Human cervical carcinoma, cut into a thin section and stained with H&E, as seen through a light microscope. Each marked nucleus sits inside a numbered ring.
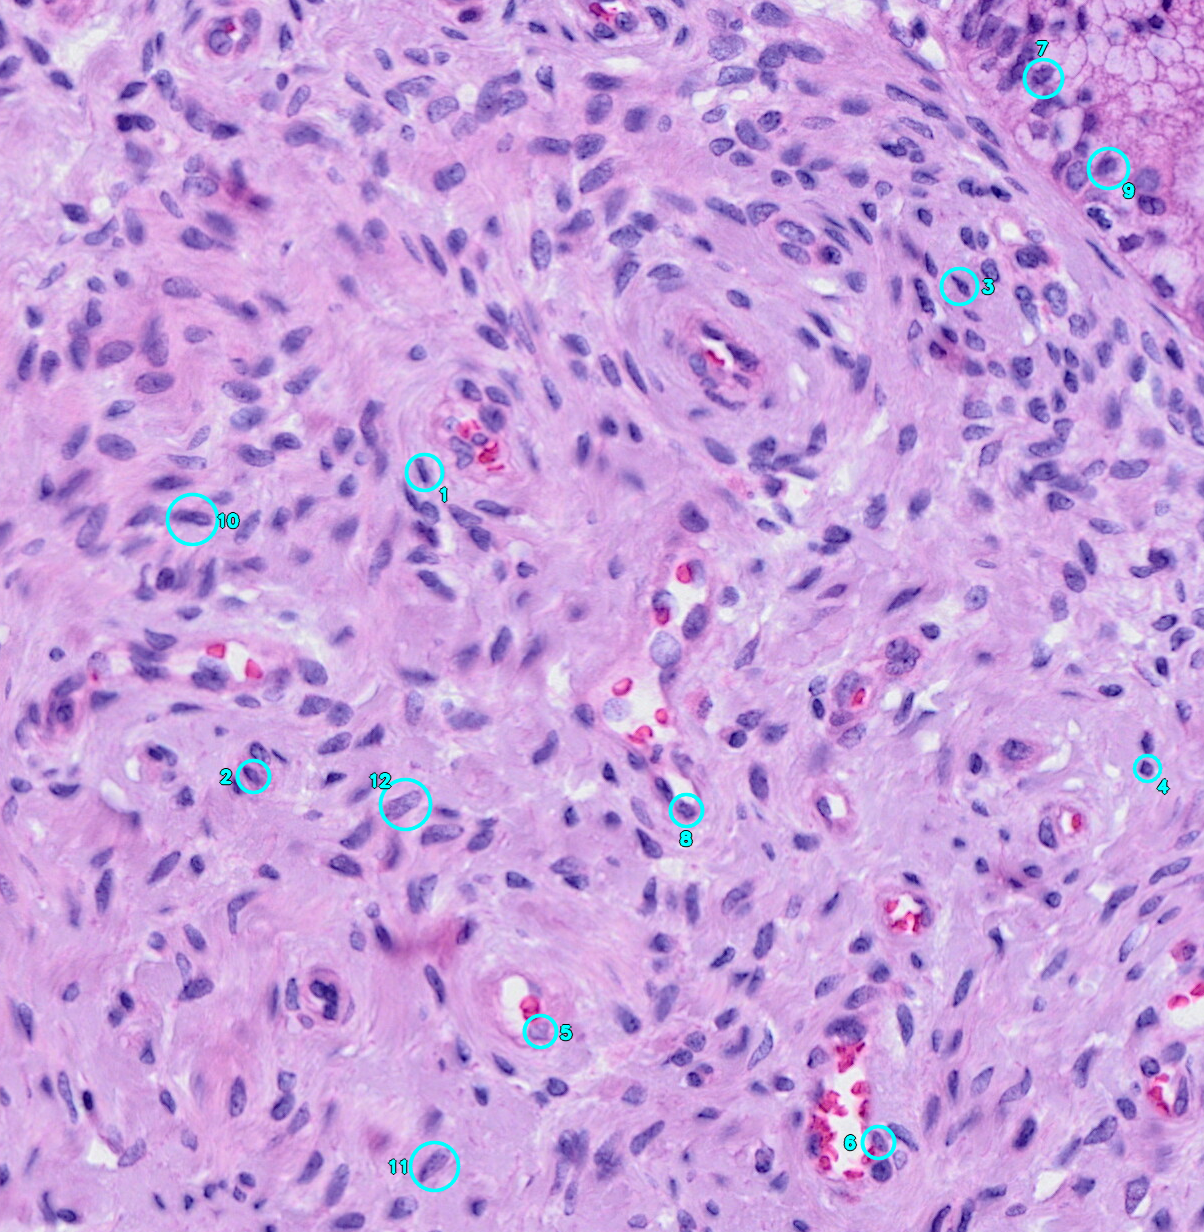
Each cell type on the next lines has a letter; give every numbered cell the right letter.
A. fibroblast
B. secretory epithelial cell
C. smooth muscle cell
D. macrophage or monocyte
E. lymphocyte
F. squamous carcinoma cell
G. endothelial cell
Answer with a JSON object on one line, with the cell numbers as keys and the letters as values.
{"1": "A", "2": "G", "3": "A", "4": "A", "5": "G", "6": "G", "7": "B", "8": "G", "9": "B", "10": "A", "11": "A", "12": "A"}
